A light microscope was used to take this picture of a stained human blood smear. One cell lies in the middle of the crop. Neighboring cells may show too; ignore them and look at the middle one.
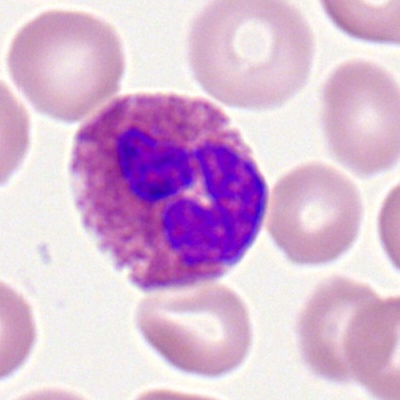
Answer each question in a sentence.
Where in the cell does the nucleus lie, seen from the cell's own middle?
The nucleus is pushed toward the right of the cell.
